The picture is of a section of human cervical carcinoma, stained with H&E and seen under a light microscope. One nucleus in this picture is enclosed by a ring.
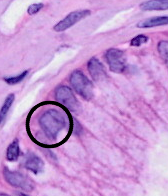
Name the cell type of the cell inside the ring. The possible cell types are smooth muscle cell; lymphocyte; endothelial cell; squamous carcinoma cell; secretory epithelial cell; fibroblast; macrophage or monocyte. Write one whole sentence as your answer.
Placed in its cell category, the cell inside the ring is a secretory epithelial cell.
